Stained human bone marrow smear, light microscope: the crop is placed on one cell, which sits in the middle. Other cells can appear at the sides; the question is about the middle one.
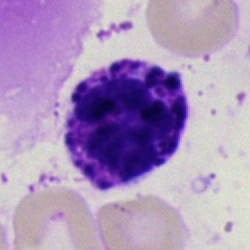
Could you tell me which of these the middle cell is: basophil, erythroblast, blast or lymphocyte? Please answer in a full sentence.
The cell nearest the centre of this crop is a basophil.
